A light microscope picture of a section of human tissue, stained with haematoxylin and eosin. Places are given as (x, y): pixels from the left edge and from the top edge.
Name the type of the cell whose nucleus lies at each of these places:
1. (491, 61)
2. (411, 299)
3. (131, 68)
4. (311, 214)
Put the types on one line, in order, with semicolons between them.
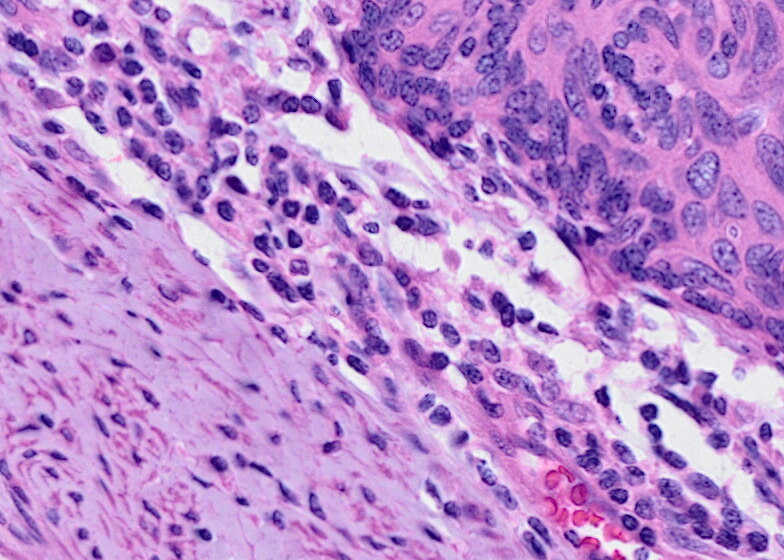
squamous carcinoma cell; lymphocyte; lymphocyte; lymphocyte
